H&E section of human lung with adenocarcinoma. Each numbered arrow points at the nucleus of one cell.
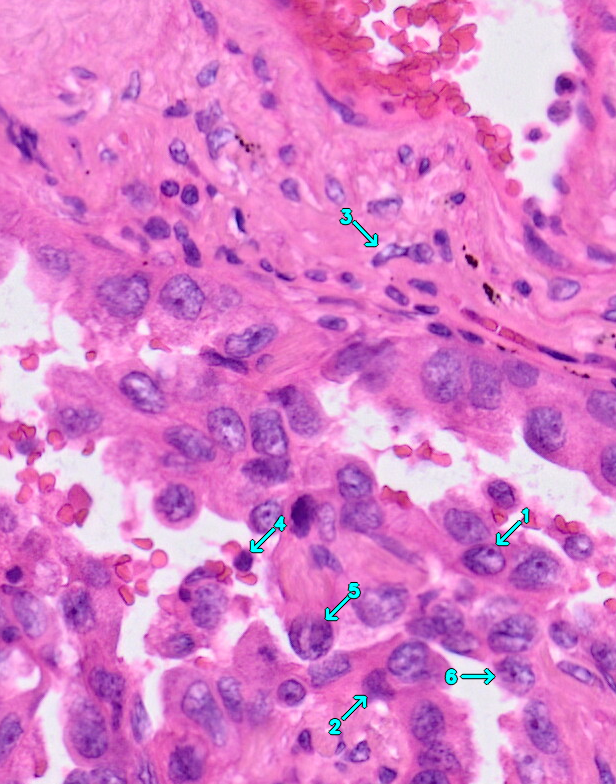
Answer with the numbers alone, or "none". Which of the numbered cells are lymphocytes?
4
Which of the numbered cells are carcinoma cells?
1, 2, 5, 6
